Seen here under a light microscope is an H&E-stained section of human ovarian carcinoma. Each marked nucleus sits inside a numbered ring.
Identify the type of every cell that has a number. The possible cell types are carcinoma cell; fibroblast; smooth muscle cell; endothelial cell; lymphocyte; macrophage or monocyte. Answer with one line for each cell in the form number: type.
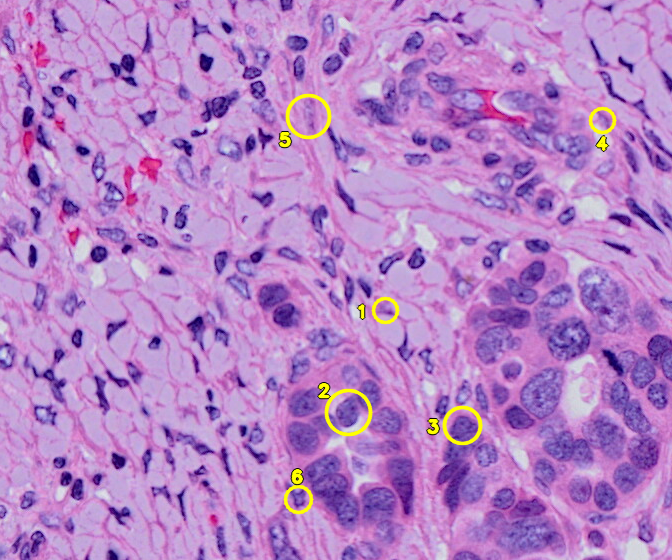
1: fibroblast
2: carcinoma cell
3: carcinoma cell
4: fibroblast
5: fibroblast
6: fibroblast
